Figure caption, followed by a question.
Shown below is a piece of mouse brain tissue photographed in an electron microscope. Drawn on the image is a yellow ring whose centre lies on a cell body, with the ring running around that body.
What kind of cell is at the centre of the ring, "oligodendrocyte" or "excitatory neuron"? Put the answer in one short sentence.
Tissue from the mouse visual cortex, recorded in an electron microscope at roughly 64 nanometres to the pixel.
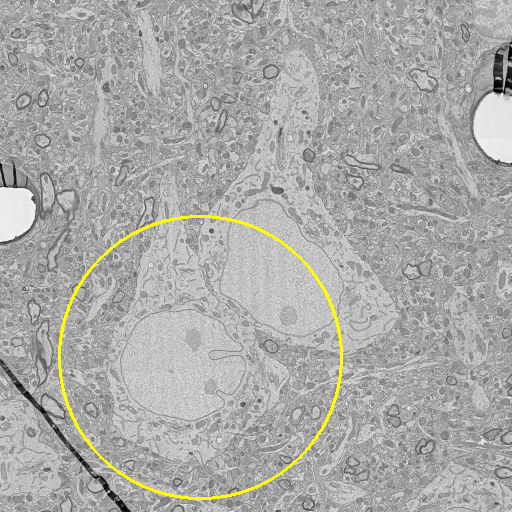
The ring marks the cell body of an excitatory neuron.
